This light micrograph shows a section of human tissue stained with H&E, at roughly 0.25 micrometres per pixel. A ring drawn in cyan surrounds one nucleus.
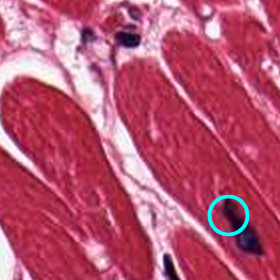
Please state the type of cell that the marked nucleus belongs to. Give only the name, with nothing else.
cardiomyocyte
